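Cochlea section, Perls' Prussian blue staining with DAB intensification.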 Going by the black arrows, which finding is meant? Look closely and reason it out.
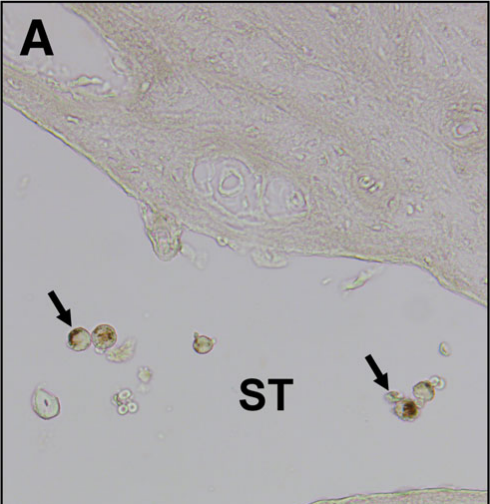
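The arrows point to round cells lying free in the open space between two tissue masses. These cells hold dark brown granular deposits.
Iron accumulations.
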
